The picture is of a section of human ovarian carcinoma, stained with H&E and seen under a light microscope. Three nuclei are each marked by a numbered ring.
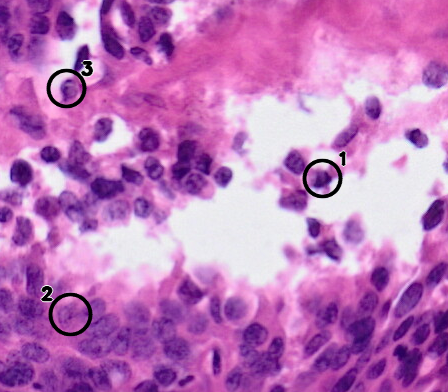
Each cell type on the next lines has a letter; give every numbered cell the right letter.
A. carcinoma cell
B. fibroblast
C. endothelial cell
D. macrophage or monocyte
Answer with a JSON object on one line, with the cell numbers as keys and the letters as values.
{"1": "A", "2": "A", "3": "D"}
